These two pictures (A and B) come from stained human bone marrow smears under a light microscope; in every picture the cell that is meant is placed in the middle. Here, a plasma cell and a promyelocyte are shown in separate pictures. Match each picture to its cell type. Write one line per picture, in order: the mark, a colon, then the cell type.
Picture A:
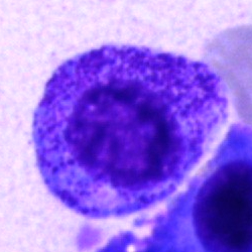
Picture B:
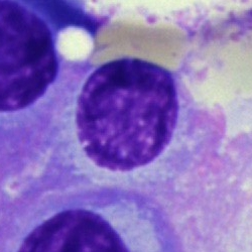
A: promyelocyte
B: plasma cell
